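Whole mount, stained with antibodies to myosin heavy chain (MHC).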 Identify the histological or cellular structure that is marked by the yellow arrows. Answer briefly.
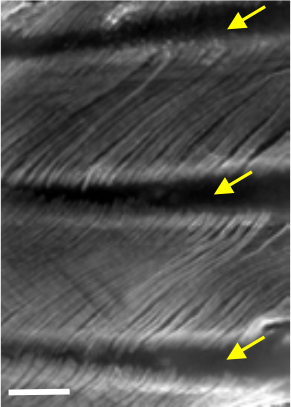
Rib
